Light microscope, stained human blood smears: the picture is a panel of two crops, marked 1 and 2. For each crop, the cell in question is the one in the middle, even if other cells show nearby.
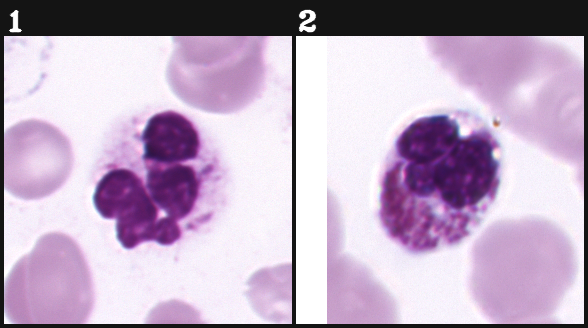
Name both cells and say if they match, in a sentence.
No, look again: crop 1 shows a segmented neutrophil, and crop 2 shows an eosinophil.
